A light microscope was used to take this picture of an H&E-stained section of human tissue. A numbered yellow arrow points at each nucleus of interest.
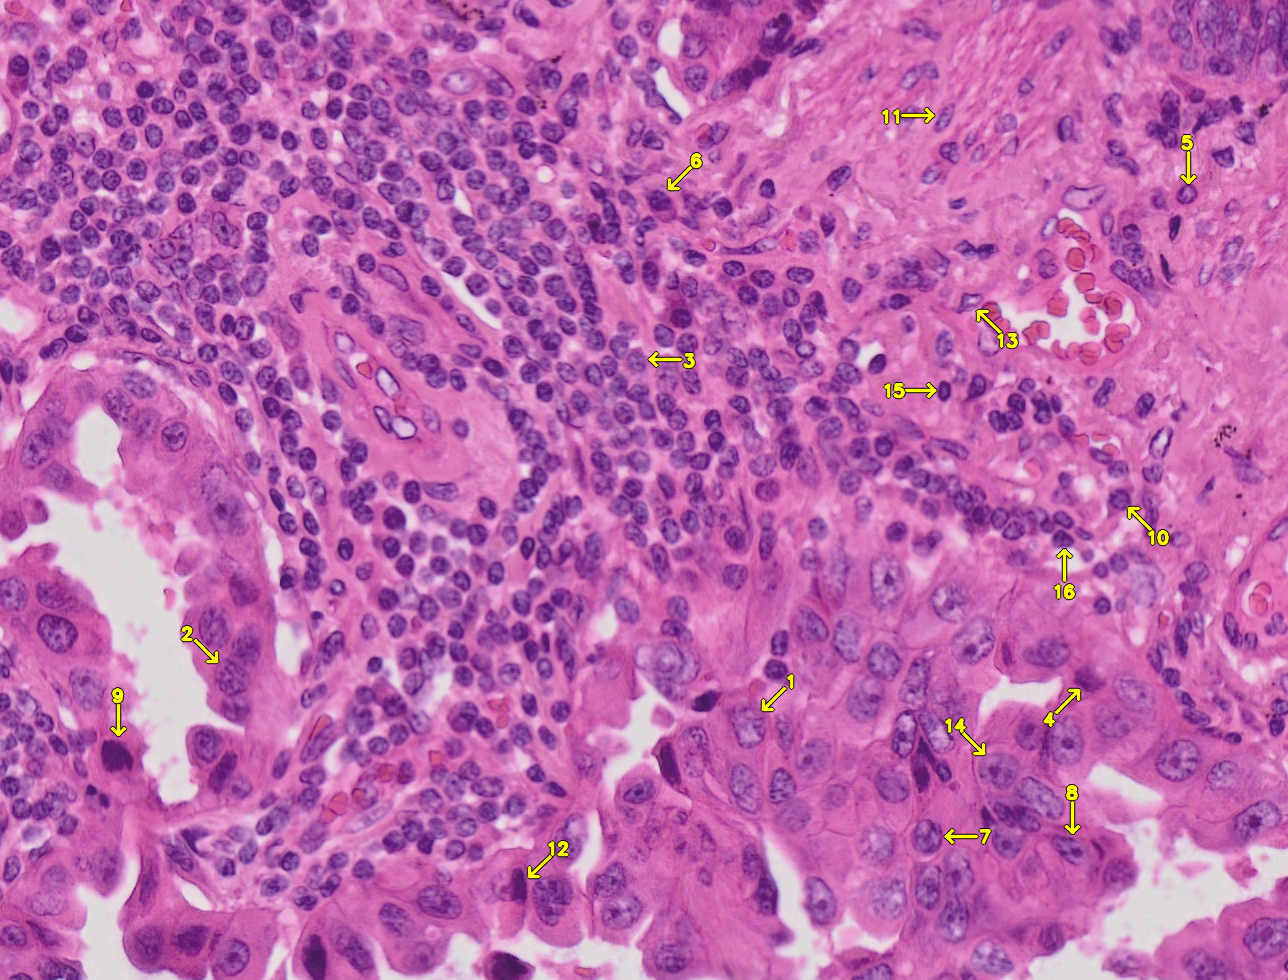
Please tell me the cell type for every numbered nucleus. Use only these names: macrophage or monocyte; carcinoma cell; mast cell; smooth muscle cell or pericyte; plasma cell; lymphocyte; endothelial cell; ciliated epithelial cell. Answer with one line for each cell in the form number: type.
1: carcinoma cell
2: carcinoma cell
3: lymphocyte
4: carcinoma cell
5: mast cell
6: plasma cell
7: carcinoma cell
8: carcinoma cell
9: carcinoma cell
10: plasma cell
11: smooth muscle cell or pericyte
12: carcinoma cell
13: endothelial cell
14: carcinoma cell
15: lymphocyte
16: lymphocyte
